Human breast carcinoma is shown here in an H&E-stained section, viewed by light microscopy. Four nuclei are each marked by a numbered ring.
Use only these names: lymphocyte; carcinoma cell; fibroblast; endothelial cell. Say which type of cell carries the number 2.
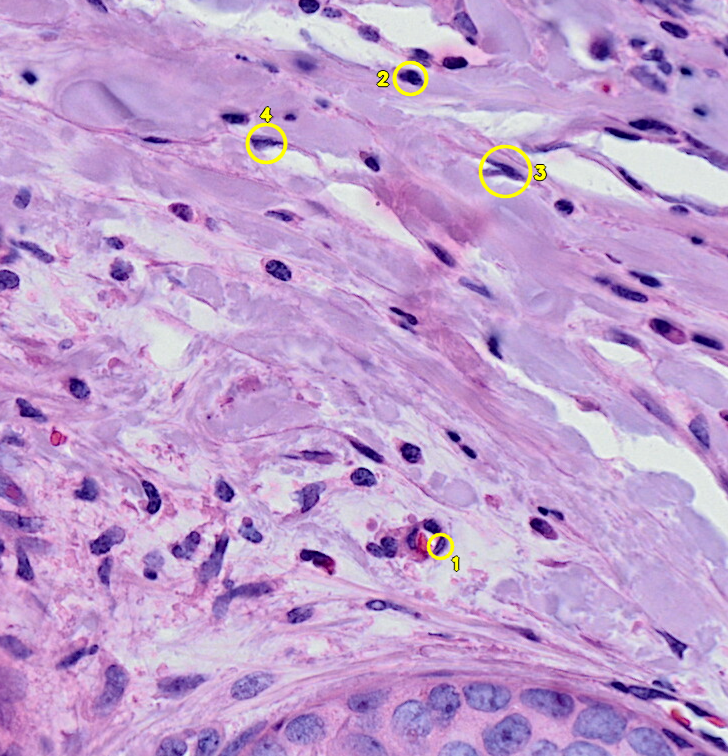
lymphocyte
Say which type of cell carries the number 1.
endothelial cell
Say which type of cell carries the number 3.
fibroblast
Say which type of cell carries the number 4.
fibroblast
